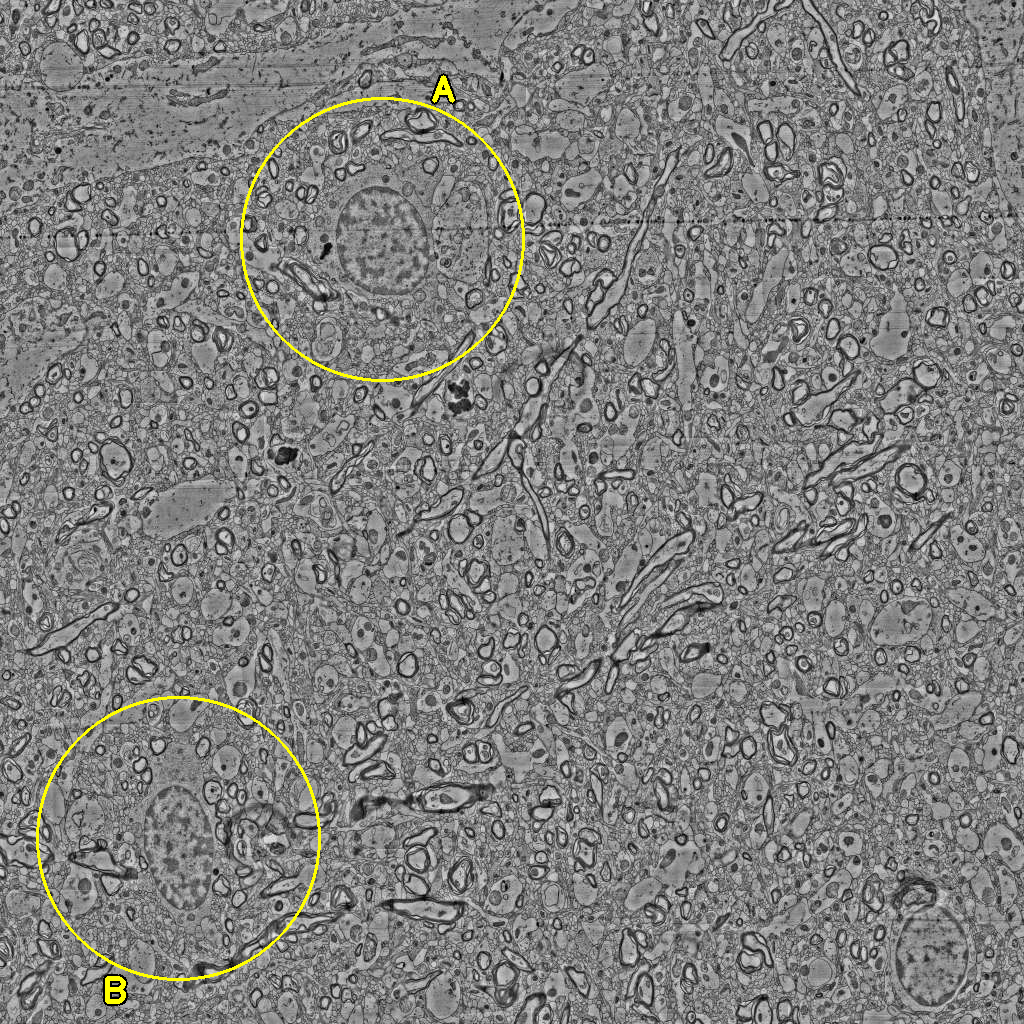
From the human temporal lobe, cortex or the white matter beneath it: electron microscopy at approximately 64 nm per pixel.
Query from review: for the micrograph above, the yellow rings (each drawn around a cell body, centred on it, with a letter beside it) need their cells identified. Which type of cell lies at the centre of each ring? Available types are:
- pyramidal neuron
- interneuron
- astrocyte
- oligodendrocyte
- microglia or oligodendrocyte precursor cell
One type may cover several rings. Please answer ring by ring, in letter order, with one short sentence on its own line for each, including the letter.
Ring A is drawn around an oligodendrocyte.
Ring B is drawn around an oligodendrocyte.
